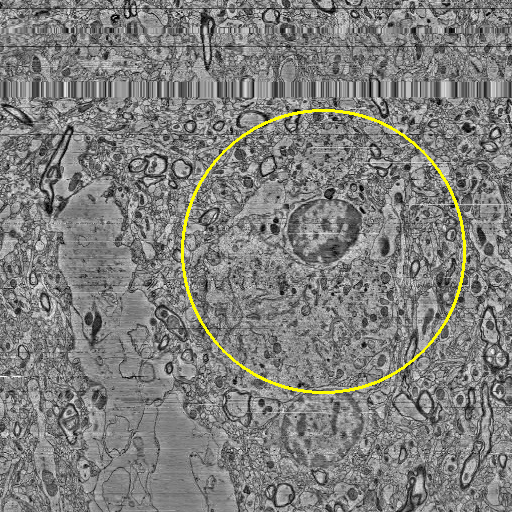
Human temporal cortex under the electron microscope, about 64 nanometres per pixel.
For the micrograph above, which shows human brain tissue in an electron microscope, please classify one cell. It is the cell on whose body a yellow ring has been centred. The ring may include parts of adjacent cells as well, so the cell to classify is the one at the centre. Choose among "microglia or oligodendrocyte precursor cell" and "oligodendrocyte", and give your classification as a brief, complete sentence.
I classify this cell as a microglial cell or oligodendrocyte precursor cell.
